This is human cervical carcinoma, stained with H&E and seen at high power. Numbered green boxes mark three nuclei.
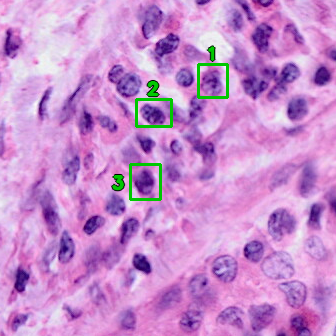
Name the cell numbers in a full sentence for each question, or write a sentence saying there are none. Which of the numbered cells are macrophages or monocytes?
Only one marked cell, number 1, is a macrophage or monocyte.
